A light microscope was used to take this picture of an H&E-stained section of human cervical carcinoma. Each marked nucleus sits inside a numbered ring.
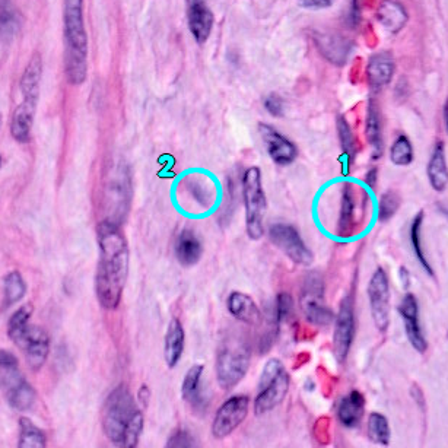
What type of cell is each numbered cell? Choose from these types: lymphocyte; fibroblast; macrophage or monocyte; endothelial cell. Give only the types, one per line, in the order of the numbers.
endothelial cell
fibroblast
